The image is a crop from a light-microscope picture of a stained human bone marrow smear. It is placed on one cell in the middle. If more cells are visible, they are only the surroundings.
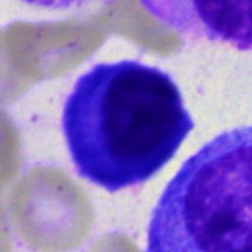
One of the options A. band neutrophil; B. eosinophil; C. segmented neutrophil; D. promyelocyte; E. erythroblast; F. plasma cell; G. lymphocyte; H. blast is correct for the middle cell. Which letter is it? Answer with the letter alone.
F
